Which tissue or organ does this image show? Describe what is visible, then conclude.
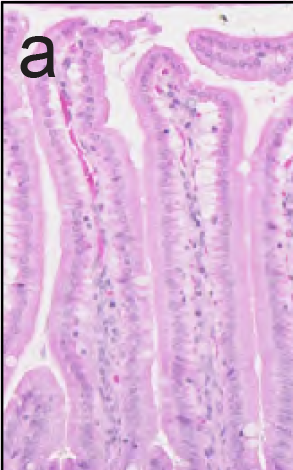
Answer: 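Intestine. Tall finger-like villi lined by a single layer of columnar epithelium.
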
